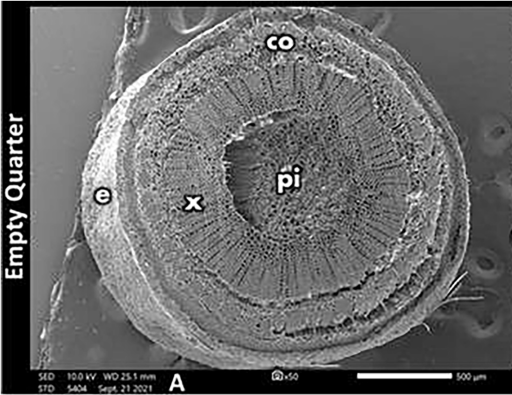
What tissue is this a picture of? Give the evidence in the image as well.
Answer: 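A round cross-section with a central soft core. A broad ring of radially arranged woody cells around the core.
Conclusion: stem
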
